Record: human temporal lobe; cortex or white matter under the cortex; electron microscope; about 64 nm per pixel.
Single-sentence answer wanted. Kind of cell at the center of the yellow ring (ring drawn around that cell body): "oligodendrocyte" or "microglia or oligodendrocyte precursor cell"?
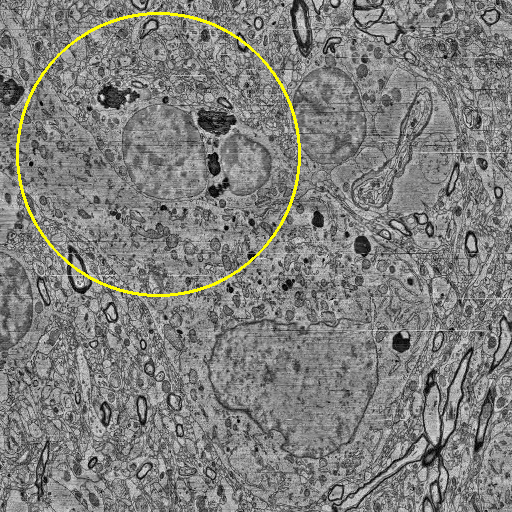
The cell centered in the ring is an oligodendrocyte.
